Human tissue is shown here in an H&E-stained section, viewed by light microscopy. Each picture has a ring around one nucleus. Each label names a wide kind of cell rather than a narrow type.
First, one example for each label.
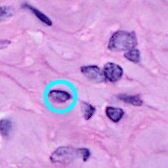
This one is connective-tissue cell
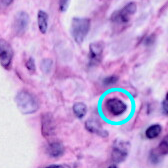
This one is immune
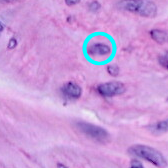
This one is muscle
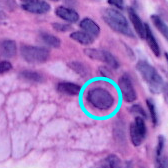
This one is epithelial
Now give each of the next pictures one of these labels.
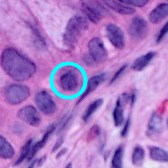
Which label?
epithelial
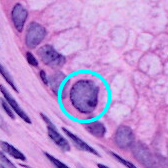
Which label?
epithelial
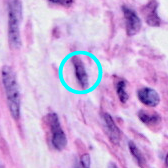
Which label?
connective-tissue cell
